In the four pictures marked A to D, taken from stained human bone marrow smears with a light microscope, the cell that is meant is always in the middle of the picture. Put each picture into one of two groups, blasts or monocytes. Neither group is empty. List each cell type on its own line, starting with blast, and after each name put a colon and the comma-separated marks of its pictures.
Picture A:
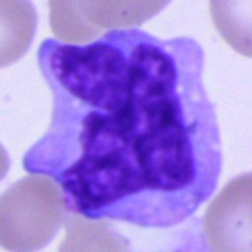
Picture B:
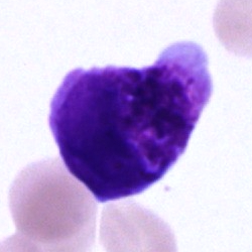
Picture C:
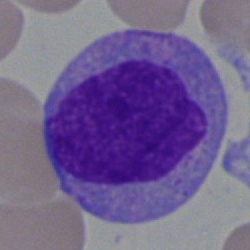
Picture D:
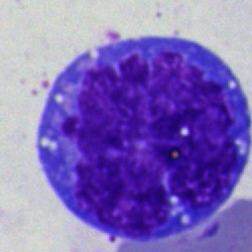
blast: B
monocyte: A, C, D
